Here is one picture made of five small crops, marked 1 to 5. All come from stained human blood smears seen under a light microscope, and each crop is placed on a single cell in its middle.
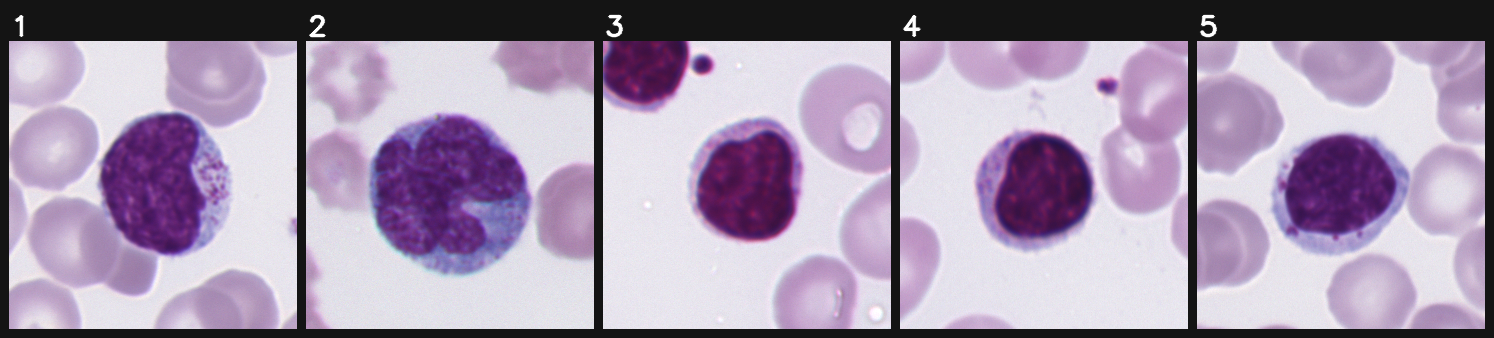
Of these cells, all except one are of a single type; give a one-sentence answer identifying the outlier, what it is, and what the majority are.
In this set, all crops show large granular lymphocytes apart from crop 2, which is a monocyte.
